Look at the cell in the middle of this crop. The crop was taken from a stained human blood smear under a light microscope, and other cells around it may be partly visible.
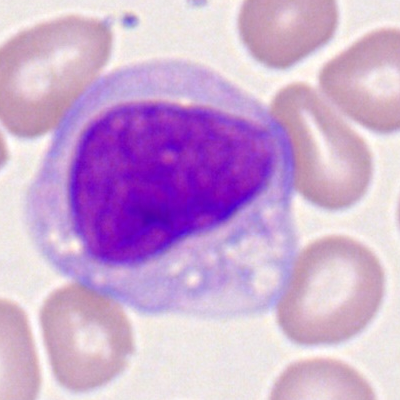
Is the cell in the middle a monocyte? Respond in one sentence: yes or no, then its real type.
Yes, that is right: the middle cell is a monocyte.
